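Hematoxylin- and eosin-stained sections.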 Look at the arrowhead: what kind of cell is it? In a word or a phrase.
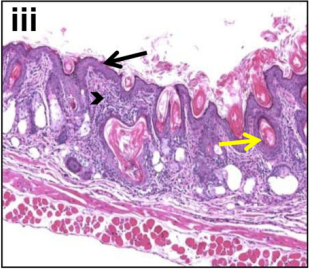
Inflammatory cells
